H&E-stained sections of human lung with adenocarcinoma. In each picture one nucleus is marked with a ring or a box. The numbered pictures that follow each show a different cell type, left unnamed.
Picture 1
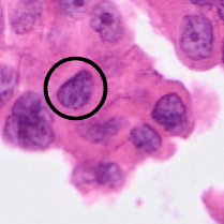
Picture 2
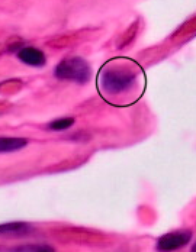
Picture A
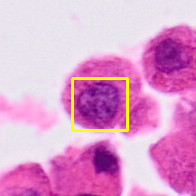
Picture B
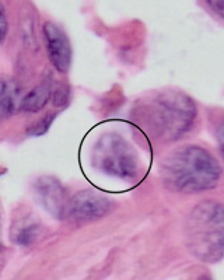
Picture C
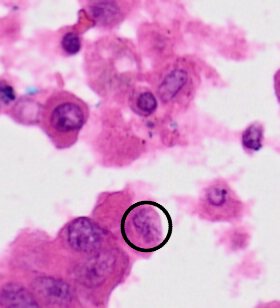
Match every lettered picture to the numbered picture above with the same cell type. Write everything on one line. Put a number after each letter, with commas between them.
A 1, B 1, C 1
